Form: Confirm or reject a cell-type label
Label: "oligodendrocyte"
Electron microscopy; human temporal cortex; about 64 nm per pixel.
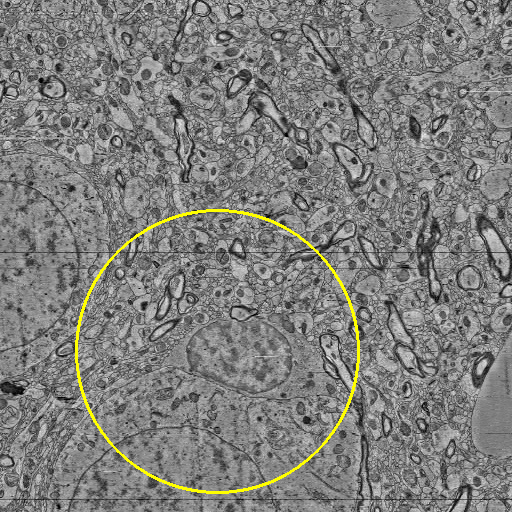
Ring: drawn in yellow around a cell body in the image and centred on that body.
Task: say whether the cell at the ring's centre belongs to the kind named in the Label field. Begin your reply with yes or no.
Yes, it belongs to that kind.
